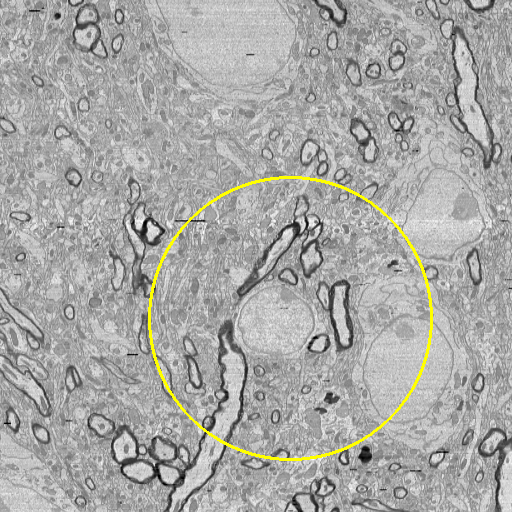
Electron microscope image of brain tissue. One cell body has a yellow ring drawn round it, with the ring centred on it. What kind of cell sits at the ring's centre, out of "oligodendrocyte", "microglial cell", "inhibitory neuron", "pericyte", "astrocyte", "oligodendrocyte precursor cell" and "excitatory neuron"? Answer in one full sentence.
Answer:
It is an oligodendrocyte precursor cell whose cell body sits at the centre of the yellow ring.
